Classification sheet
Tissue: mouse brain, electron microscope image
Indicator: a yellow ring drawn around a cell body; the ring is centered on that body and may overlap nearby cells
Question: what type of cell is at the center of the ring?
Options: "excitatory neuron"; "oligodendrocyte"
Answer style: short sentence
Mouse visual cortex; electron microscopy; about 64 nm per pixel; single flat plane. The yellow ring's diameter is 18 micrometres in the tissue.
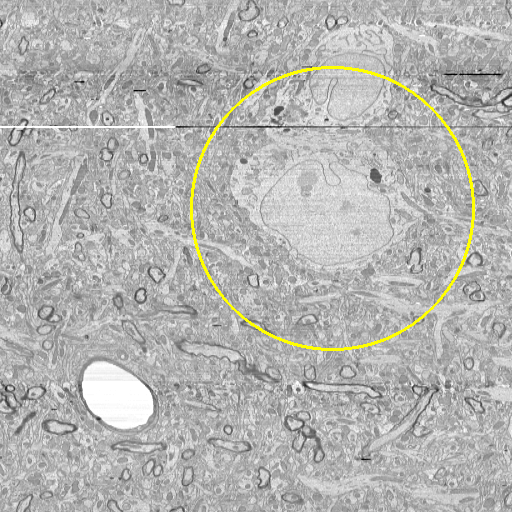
At the ring's center is an excitatory neuron.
